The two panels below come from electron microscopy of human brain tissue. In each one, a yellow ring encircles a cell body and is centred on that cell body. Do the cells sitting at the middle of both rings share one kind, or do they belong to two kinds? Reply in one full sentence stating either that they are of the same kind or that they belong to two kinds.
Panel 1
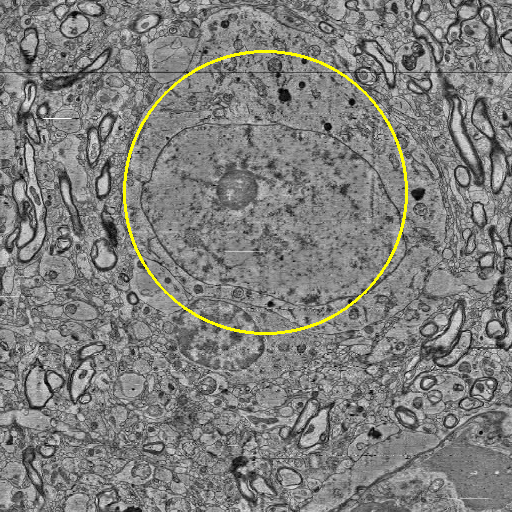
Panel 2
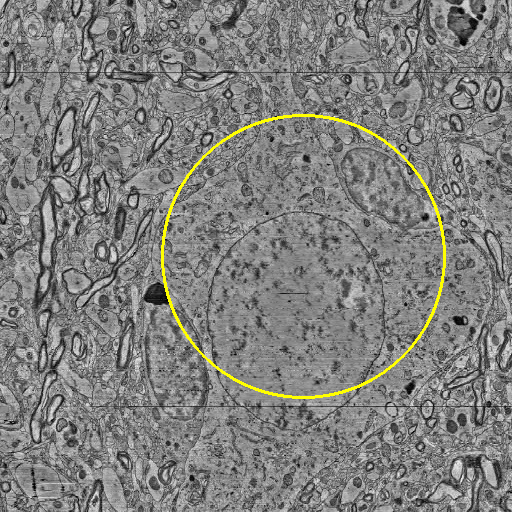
The cells at the centres of the two rings are of the same kind.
